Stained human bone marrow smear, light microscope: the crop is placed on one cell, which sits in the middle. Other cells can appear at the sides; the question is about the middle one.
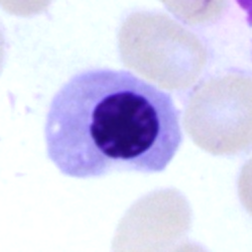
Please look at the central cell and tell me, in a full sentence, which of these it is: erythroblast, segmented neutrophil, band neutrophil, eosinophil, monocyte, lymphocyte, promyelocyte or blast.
On this slide crop, the central cell is an erythroblast.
